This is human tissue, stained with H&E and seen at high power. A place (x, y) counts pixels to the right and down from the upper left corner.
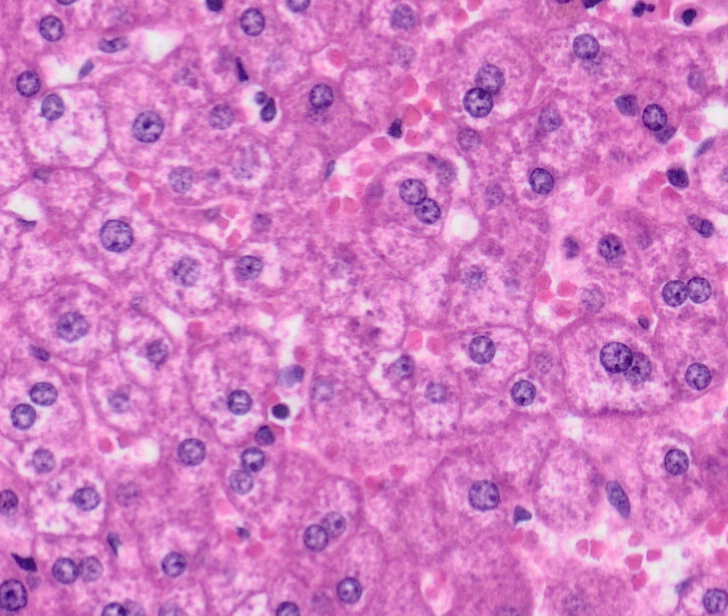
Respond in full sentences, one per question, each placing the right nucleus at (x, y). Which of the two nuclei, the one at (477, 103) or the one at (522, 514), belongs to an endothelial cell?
It is the nucleus at (522, 514) that belongs to an endothelial cell.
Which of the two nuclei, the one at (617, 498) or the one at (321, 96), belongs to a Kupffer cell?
The correct choice is the nucleus at (617, 498), which belongs to a Kupffer cell.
